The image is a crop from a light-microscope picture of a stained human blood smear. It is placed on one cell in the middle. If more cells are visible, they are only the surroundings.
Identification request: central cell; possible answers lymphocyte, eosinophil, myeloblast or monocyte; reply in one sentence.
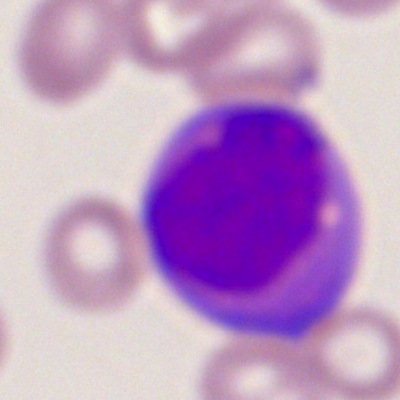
The cell sitting right in the middle is a myeloblast.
